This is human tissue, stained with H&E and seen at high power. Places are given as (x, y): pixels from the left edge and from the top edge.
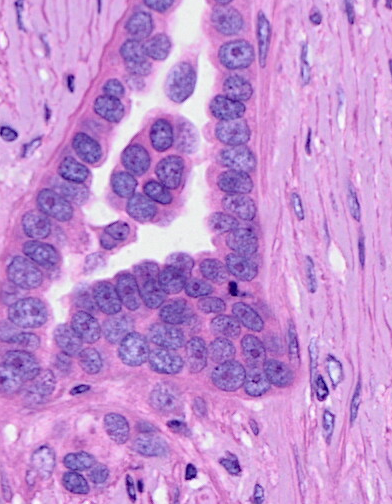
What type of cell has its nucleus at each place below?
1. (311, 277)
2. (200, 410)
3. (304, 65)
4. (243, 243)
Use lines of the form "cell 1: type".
cell 1: fibroblast
cell 2: fibroblast
cell 3: fibroblast
cell 4: carcinoma cell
